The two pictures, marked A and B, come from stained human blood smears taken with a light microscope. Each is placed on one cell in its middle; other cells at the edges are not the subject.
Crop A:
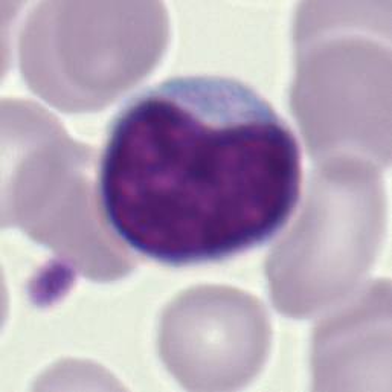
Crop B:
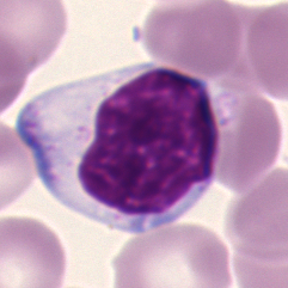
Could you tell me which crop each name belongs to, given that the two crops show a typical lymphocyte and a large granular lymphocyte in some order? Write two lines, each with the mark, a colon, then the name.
A: typical lymphocyte
B: large granular lymphocyte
